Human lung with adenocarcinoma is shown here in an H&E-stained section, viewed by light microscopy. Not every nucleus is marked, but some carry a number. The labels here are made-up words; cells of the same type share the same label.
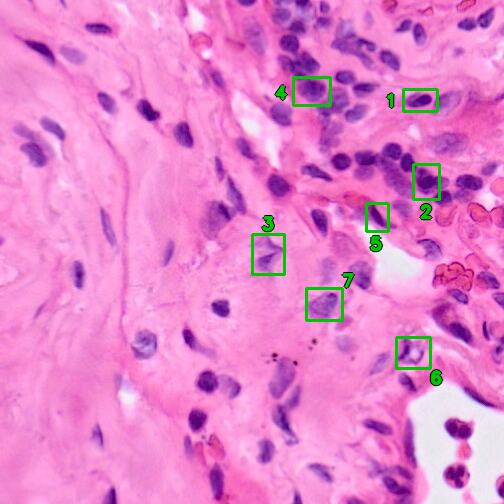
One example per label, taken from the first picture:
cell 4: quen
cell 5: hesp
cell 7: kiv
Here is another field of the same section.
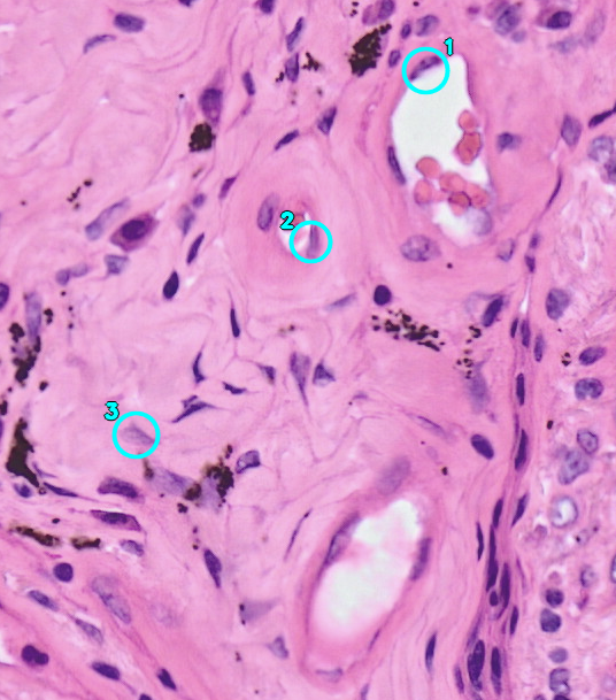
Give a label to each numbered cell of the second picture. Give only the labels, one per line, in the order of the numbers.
hesp
hesp
kiv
